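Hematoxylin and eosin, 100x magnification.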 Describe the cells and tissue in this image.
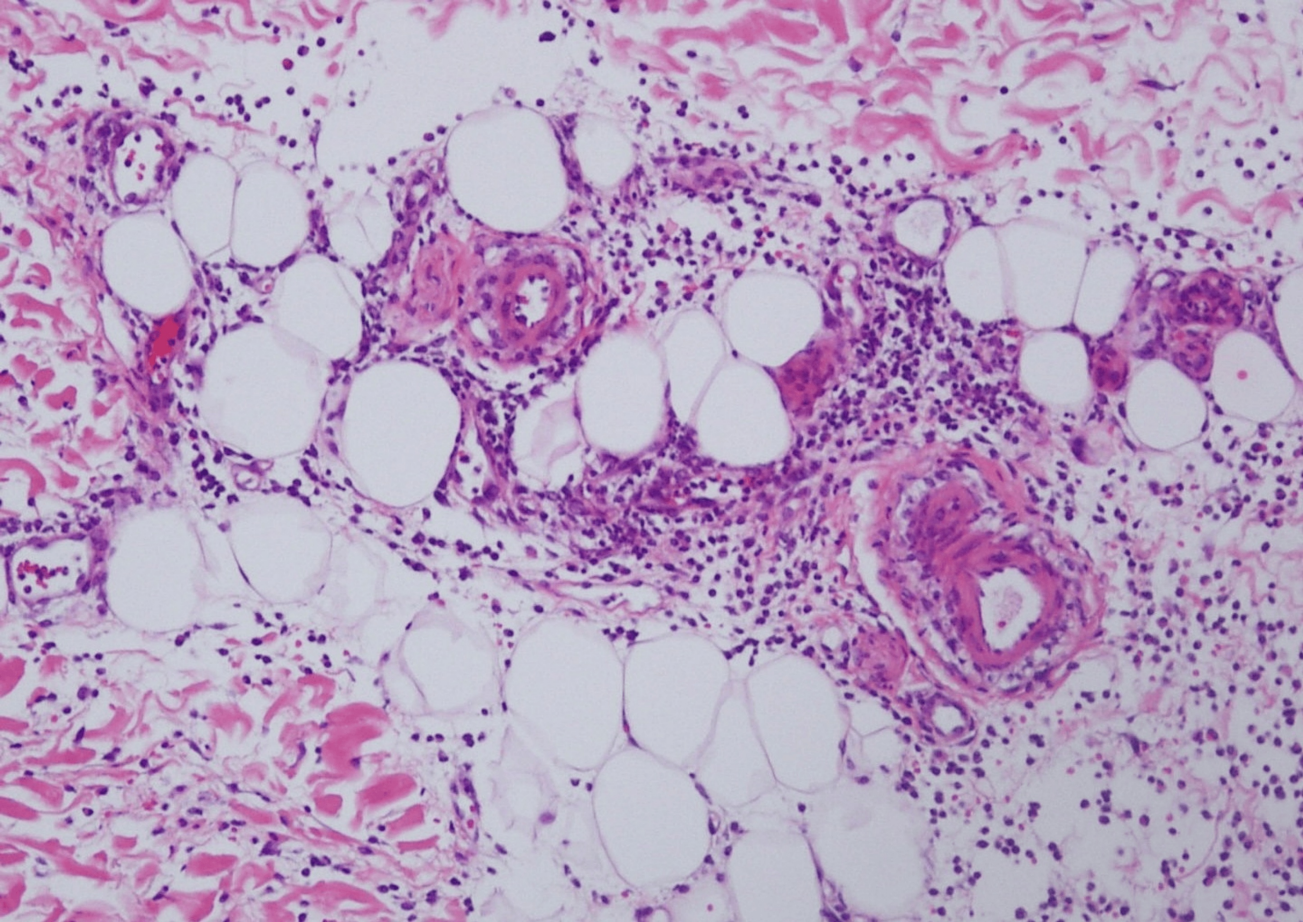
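Subcutaneous fat is seen, with fat cells appearing as large, clear, round spaces that have thin pink borders, separated by fibrous septa. The septa carry small blood vessels with thick pink walls and are crowded with many small, dark purple nuclei of inflammatory cells, which also spill in among the fat cells at the edges. Wavy pink collagen bundles lie at the top and lower left of the field.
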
